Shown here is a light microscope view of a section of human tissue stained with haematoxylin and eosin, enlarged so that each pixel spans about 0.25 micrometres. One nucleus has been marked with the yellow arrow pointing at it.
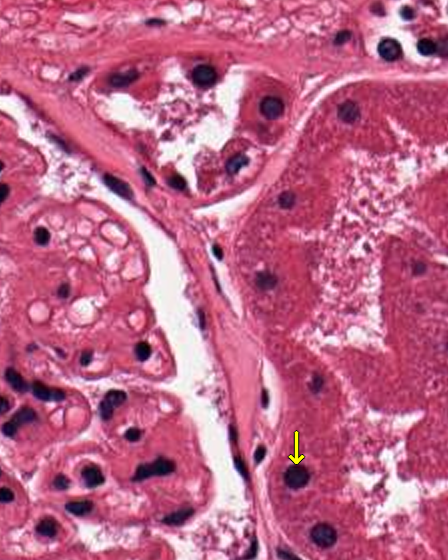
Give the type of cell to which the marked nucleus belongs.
proximal tubule cell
